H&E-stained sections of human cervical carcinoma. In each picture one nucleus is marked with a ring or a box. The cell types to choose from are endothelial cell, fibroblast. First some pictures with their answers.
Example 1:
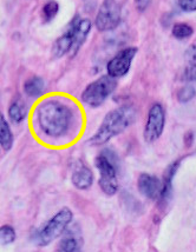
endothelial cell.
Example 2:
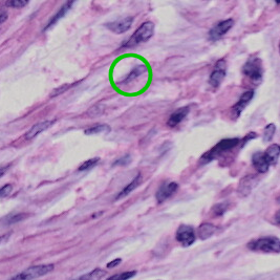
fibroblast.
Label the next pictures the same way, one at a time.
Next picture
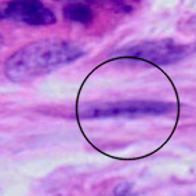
fibroblast.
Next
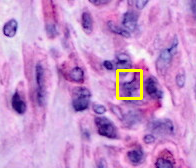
endothelial cell.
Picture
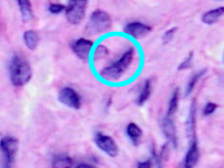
fibroblast.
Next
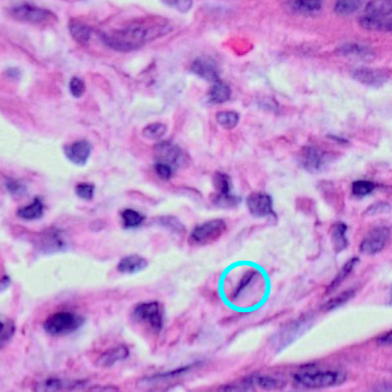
fibroblast.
